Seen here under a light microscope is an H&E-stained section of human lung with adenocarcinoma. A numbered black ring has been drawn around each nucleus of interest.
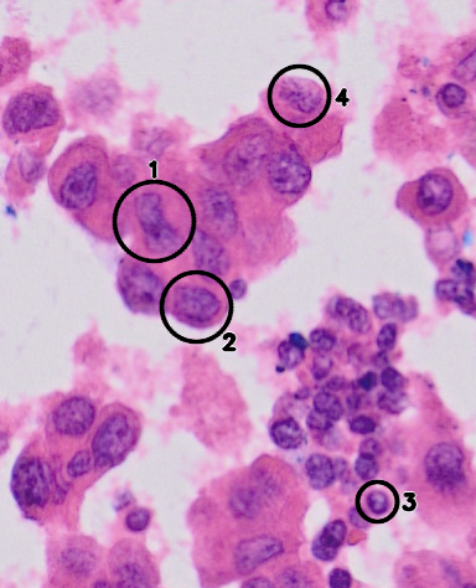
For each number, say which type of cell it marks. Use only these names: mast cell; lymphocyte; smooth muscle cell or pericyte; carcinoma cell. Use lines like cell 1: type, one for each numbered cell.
cell 1: carcinoma cell
cell 2: carcinoma cell
cell 3: lymphocyte
cell 4: carcinoma cell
